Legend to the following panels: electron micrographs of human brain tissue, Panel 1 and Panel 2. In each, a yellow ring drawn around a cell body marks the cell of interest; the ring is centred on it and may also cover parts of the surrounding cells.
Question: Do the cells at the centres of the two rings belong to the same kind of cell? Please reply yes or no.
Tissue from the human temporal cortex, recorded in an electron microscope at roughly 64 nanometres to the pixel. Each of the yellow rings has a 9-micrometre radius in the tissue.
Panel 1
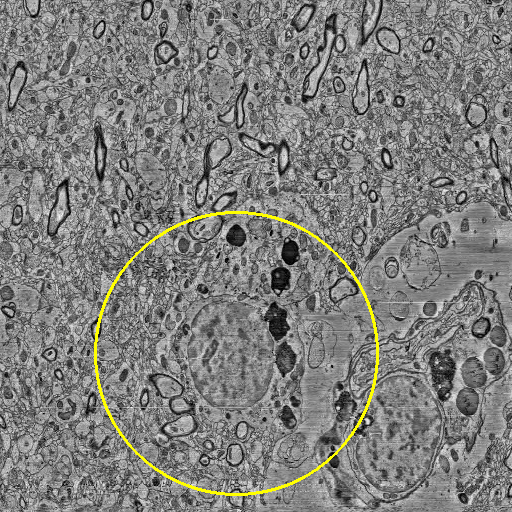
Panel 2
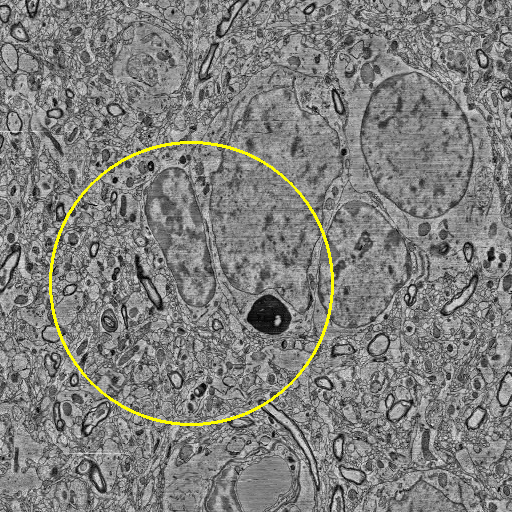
no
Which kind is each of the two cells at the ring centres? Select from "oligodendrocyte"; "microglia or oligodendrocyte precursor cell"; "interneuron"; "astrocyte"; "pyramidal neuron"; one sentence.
The cell at the centre of the ring is an oligodendrocyte in the first picture and a microglial cell or oligodendrocyte precursor cell in the second.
